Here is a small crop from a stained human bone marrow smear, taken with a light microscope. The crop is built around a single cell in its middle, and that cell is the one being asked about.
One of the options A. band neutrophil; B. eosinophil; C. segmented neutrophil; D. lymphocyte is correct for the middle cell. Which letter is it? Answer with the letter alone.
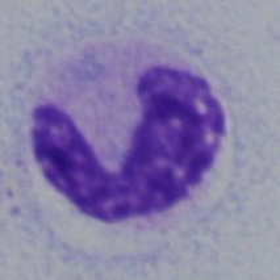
A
